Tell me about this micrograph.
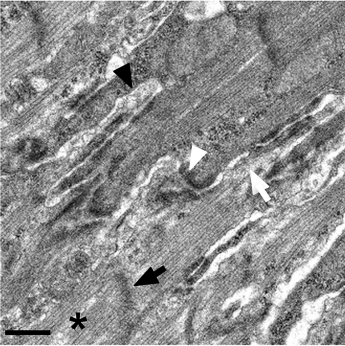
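This is heart muscle at high magnification where cardiac muscle cells meet, but here the junctions are badly disordered. Instead of one neat pleated line, several irregular, elongated dense membrane segments run obliquely through the field. Between these membranes are wide pale clefts, so the cell boundaries appear pulled apart. Some myofibrils beside the junctions seem separated from them, and the banding of the myofibrils is blurred in places, with fuzzy dark transverse lines and faint, disordered filaments. Compared with normal heart muscle the overall architecture looks torn and loosened.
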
